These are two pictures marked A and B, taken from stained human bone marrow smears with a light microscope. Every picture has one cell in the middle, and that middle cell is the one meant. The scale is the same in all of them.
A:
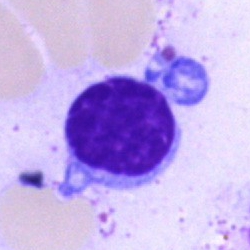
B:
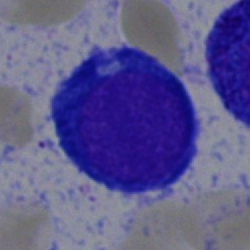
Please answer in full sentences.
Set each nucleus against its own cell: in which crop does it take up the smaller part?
It is the cell in crop A that is filled less by its nucleus.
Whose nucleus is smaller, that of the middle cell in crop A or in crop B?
Smaller is the nucleus in crop A, and the other is about 1.5 times as large in area.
